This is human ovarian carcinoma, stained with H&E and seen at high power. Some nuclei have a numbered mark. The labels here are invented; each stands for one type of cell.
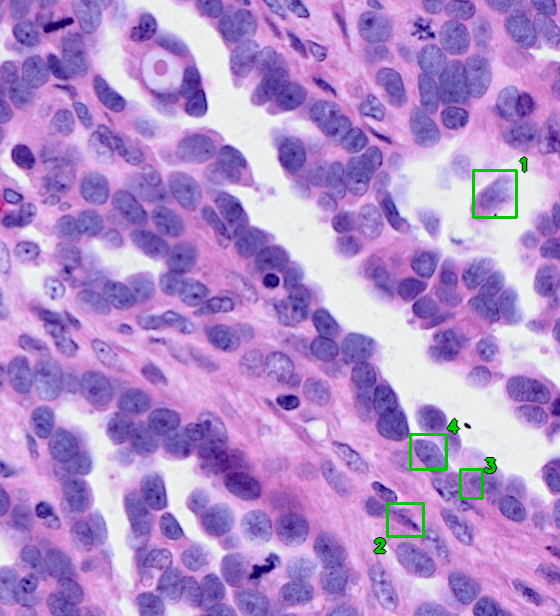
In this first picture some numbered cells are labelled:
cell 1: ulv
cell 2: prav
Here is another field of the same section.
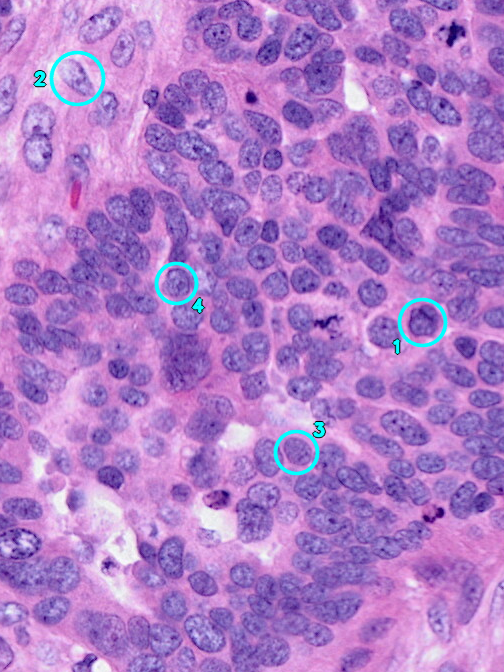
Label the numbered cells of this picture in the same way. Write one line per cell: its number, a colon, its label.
1: ulv
2: prav
3: ulv
4: ulv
